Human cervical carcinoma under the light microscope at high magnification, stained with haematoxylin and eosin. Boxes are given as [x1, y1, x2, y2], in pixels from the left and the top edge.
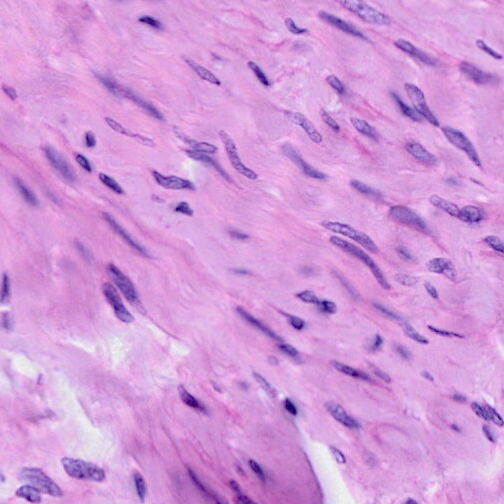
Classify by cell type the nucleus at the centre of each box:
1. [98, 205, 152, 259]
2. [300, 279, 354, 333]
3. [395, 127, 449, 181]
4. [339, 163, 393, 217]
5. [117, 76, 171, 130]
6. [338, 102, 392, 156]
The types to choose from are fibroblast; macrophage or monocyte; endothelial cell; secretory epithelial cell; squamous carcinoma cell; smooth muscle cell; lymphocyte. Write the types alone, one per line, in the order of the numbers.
fibroblast
fibroblast
smooth muscle cell
smooth muscle cell
fibroblast
smooth muscle cell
